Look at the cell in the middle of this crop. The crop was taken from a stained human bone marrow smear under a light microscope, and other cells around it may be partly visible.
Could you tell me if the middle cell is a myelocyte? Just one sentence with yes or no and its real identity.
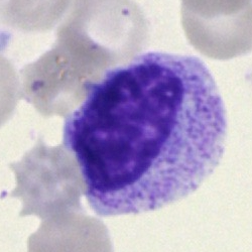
Yes, a myelocyte occupies the middle of the crop.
